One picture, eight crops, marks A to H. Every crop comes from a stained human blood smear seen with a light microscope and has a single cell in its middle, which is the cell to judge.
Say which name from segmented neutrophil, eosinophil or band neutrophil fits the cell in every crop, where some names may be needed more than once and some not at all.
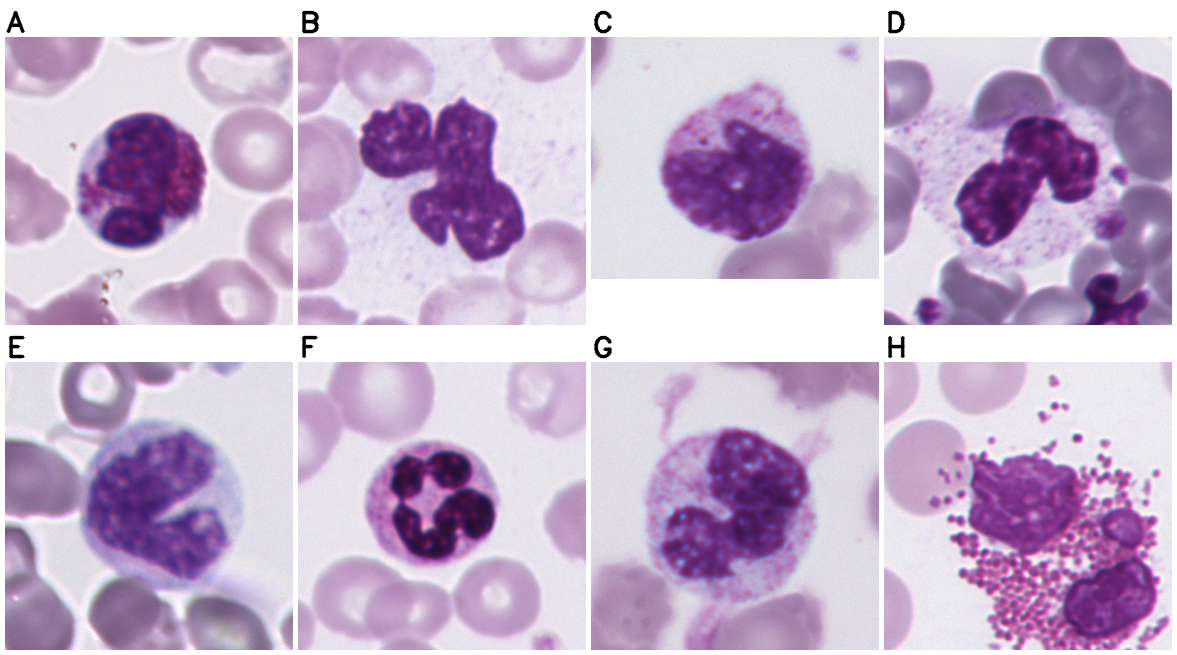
A: eosinophil
B: segmented neutrophil
C: band neutrophil
D: band neutrophil
E: band neutrophil
F: segmented neutrophil
G: segmented neutrophil
H: eosinophil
